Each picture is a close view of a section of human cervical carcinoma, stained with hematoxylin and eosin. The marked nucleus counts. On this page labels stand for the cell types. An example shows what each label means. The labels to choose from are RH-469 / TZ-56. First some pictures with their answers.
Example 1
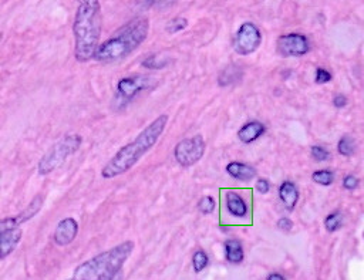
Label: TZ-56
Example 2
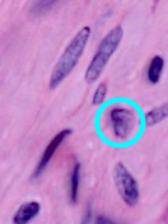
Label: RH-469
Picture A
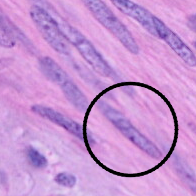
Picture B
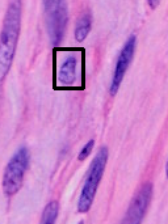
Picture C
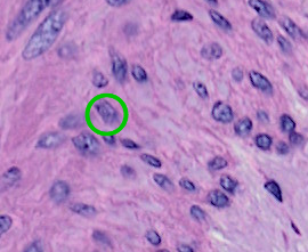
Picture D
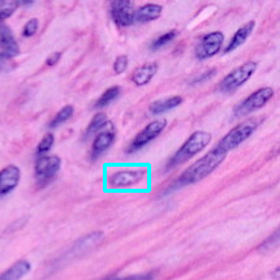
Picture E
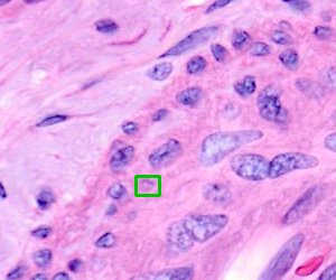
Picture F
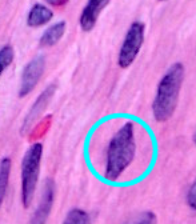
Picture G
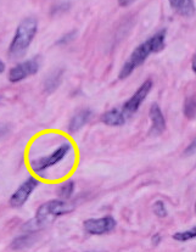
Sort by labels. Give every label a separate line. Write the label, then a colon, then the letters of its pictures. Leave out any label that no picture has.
RH-469: F
TZ-56: A, B, C, D, E, G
